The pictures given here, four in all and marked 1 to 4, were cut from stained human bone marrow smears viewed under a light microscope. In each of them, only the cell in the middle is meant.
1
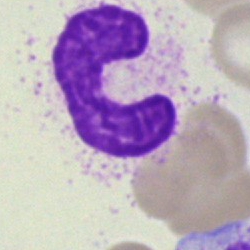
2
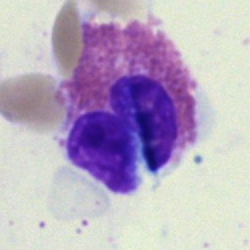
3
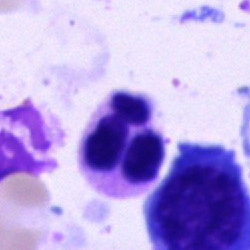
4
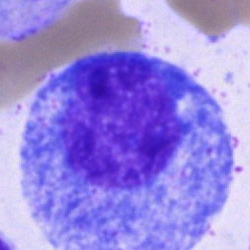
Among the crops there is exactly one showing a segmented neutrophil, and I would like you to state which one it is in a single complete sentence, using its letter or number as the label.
The one crop that shows a segmented neutrophil is crop 3.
